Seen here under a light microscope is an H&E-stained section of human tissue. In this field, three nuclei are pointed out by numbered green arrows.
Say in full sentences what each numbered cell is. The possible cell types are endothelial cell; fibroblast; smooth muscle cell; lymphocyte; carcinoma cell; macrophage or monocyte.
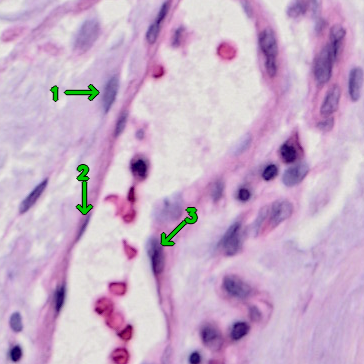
Cell 1 is a fibroblast. Cells 2 and 3 are endothelial cells.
